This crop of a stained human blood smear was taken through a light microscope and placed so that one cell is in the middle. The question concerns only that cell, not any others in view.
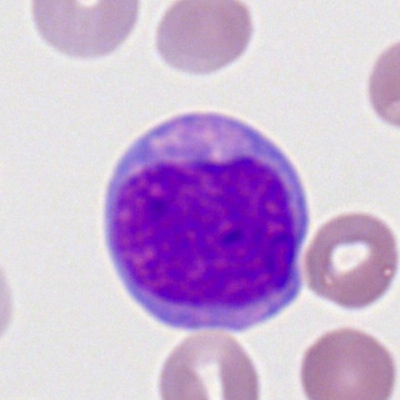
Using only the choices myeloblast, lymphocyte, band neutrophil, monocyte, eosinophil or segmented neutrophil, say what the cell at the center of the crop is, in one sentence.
Classification of the middle cell gives a myeloblast.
